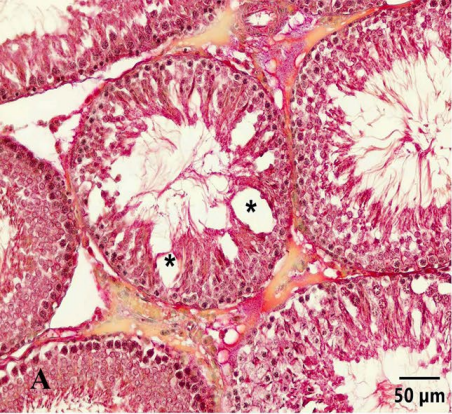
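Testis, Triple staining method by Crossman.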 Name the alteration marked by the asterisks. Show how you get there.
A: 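The asterisks sit on clear, rounded empty spaces inside the epithelium of a tubule. The spaces interrupt the layers of germ cell nuclei.
Hence: Vacuole formation.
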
